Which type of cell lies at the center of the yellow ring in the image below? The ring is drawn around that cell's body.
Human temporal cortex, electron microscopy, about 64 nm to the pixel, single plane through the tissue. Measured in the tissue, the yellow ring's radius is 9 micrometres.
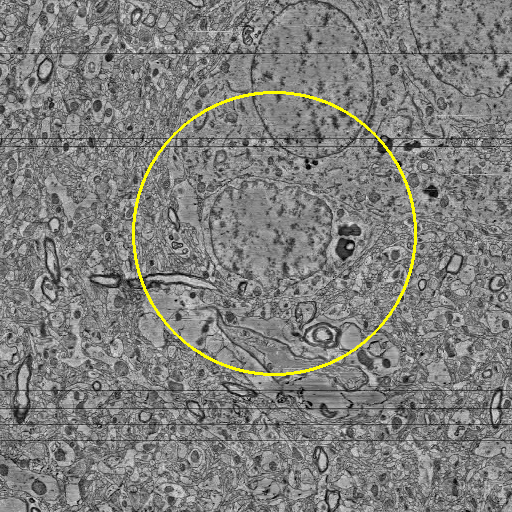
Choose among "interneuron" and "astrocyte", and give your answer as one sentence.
The cell body at the center belongs to an interneuron.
